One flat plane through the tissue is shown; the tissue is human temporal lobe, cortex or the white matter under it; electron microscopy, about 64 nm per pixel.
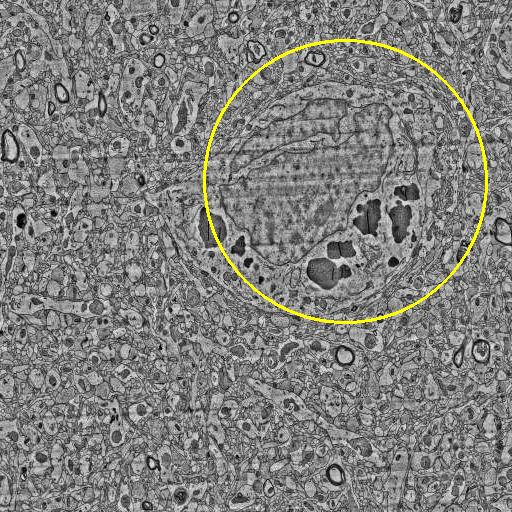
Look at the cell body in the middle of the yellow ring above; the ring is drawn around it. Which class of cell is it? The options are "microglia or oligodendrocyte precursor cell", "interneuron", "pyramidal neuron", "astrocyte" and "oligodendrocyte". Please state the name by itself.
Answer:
interneuron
